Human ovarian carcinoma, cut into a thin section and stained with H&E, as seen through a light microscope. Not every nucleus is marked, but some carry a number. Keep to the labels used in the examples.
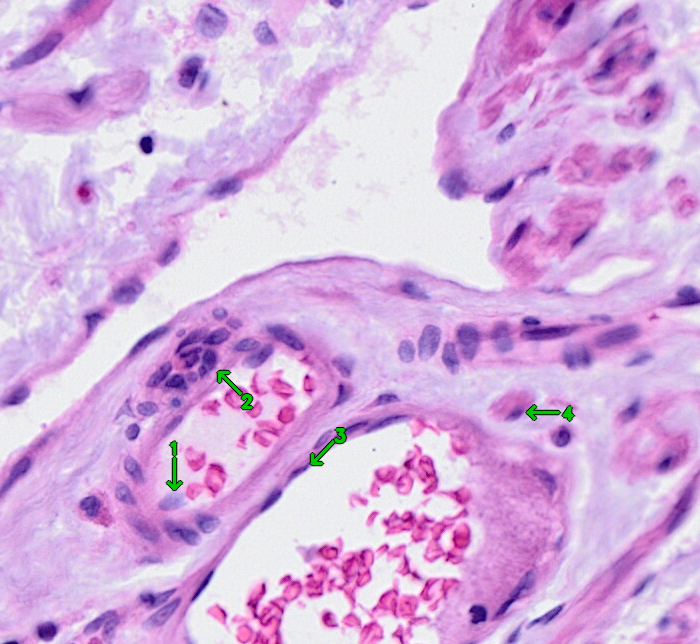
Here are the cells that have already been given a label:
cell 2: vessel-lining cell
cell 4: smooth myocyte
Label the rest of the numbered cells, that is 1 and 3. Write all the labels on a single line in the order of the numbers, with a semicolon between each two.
vessel-lining cell; vessel-lining cell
